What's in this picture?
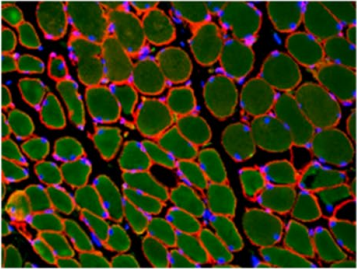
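Skeletal muscle cut in cross-section, showing rounded to oval myofibers filled with green, each ringed by a red border. The fibers vary in size, and some larger ones at the top are paler and more yellowish. Between groups of fibers there are wide black gaps, with red-outlined strands and small blue nuclei running through them, so the fibers are less tightly packed. Nuclei lie at the fiber edges rather than in their centres.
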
